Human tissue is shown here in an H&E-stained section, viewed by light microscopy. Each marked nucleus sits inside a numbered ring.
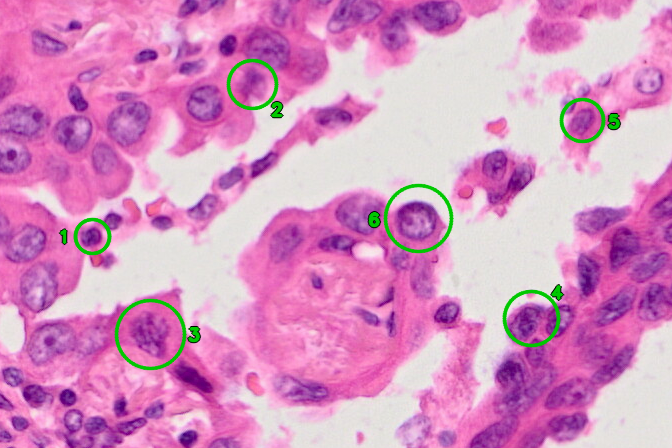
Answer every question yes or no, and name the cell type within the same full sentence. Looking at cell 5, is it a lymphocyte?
No, the cell with number 5 is not a lymphocyte but a macrophage or monocyte.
